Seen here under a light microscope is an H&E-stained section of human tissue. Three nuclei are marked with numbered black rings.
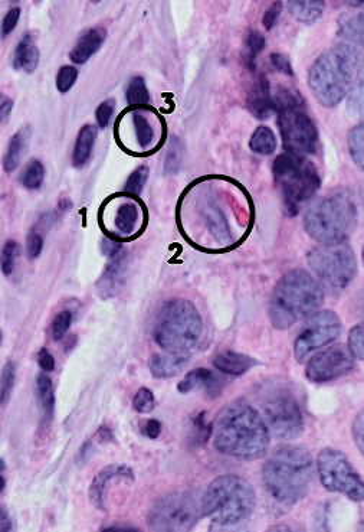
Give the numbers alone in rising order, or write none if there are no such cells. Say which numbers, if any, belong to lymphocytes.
1, 3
